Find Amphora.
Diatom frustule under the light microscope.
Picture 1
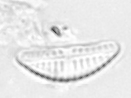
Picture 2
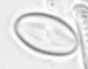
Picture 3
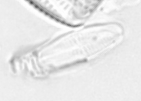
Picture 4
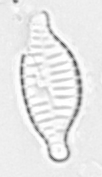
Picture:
1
